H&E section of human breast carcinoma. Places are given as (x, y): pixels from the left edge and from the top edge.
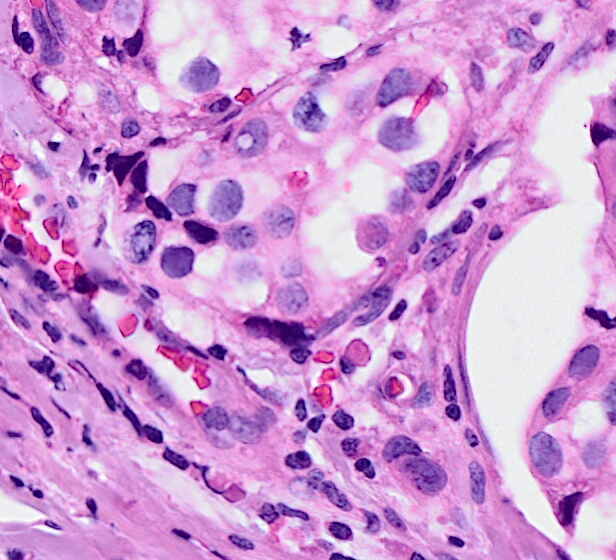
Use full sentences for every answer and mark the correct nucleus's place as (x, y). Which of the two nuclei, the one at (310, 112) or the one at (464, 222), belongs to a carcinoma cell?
The nucleus at (310, 112) belongs to a carcinoma cell, which distinguishes it from the other nucleus.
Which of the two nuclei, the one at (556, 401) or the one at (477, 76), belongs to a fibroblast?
In this pair, the nucleus at (477, 76) belongs to a fibroblast.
